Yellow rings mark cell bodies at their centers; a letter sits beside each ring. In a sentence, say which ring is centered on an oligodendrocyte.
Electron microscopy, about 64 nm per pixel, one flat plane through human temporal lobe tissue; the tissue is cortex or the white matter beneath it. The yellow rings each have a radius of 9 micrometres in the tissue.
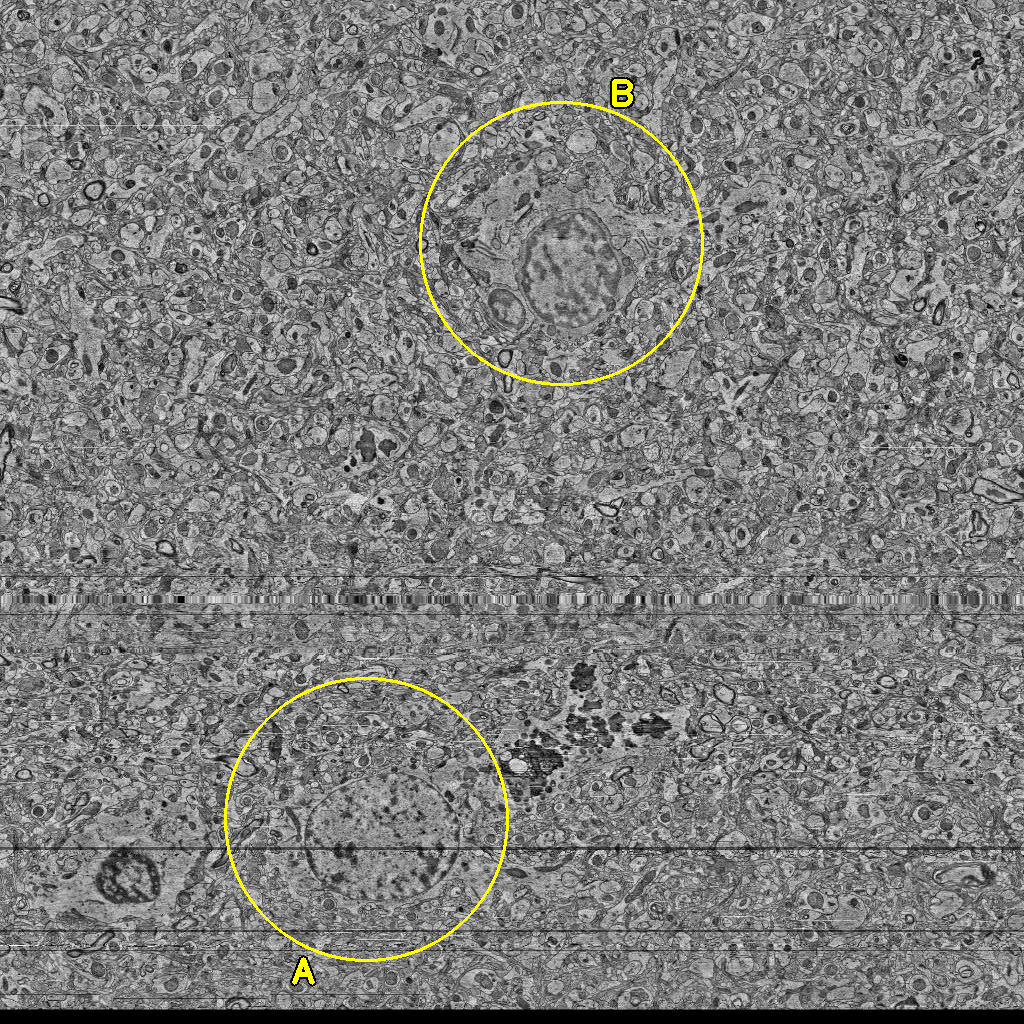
It is ring B.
